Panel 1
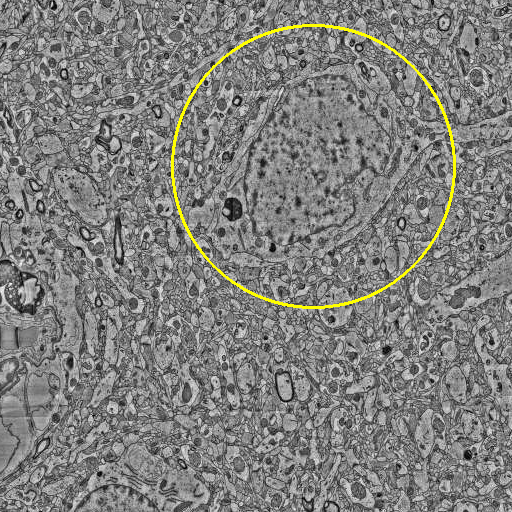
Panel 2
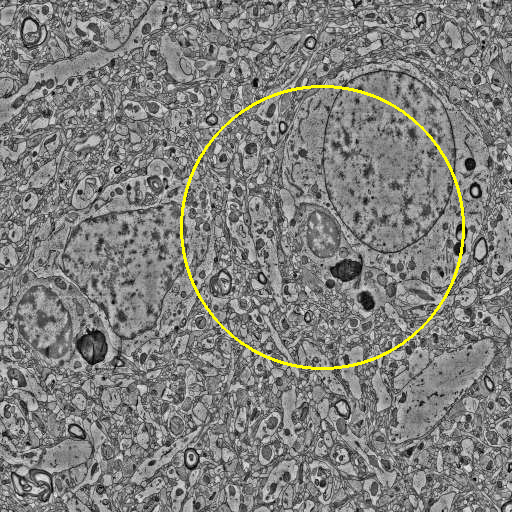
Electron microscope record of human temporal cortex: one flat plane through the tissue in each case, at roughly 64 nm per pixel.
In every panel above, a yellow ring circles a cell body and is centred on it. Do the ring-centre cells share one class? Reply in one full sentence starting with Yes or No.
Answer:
No, the two cells at the ring centres in the panels belong to two classes.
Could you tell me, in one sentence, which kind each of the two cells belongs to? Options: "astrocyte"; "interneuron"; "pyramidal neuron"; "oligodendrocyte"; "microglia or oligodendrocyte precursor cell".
At the centre of the first ring sits an interneuron, and at the centre of the second sits an oligodendrocyte.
